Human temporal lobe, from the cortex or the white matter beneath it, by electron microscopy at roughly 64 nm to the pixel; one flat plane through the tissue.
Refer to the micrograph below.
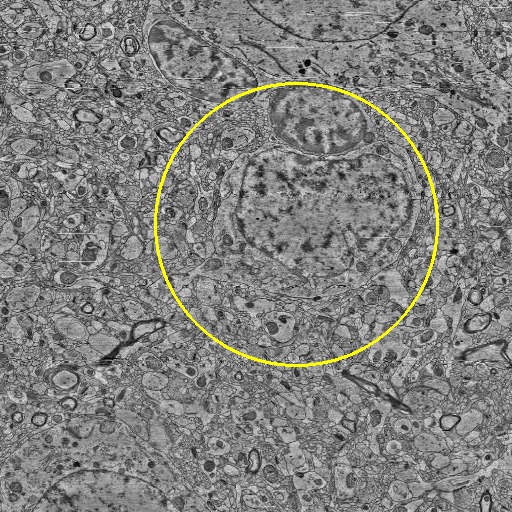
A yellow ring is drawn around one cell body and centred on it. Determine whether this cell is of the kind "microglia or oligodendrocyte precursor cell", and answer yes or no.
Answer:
no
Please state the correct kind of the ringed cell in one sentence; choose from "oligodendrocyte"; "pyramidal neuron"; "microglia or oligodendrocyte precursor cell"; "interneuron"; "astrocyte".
The cell enclosed by the ring is an interneuron.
